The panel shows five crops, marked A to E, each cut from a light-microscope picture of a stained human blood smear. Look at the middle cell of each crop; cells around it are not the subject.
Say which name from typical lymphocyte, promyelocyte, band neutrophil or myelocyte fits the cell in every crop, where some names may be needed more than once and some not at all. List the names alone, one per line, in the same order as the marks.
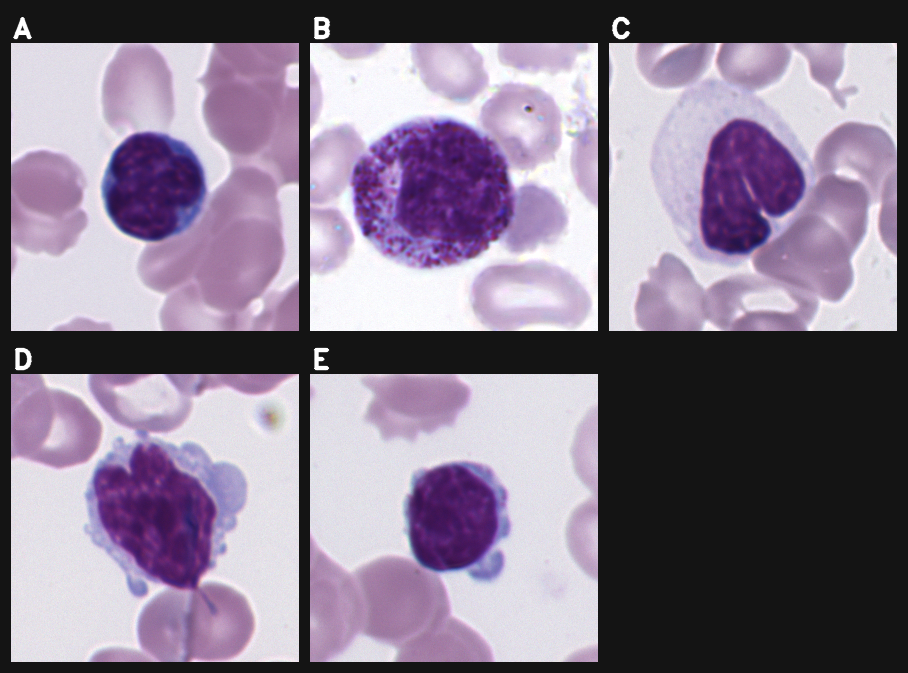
typical lymphocyte
myelocyte
band neutrophil
typical lymphocyte
typical lymphocyte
